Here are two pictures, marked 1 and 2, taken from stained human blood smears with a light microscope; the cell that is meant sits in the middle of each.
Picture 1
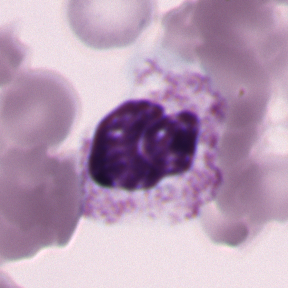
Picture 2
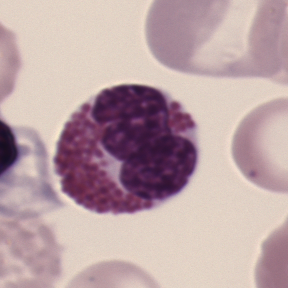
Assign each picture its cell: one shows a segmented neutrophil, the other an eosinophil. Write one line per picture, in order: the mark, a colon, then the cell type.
1: segmented neutrophil
2: eosinophil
